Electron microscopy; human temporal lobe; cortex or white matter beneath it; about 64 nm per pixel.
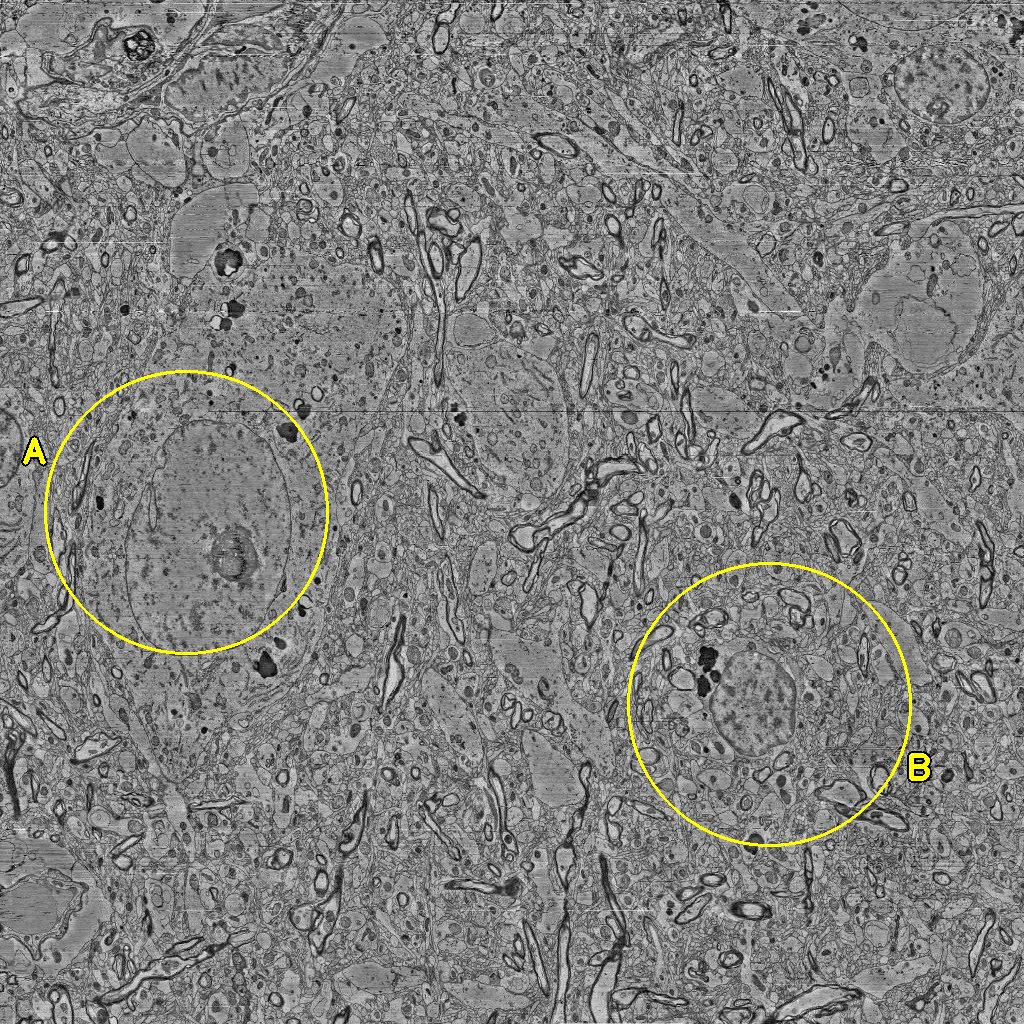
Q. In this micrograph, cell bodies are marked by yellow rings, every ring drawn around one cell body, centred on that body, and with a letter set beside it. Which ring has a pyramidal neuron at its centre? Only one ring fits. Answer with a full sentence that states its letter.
The ring lettered A surrounds the cell asked for at its centre.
